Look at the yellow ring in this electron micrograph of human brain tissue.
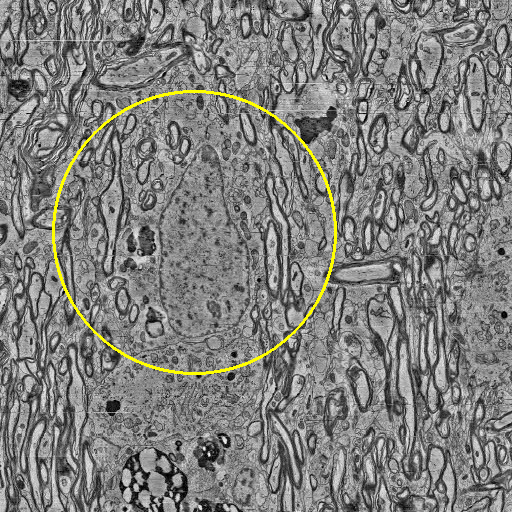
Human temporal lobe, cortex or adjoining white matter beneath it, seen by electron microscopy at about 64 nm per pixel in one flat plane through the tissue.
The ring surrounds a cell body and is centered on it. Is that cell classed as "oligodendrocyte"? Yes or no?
No, it is of another kind.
